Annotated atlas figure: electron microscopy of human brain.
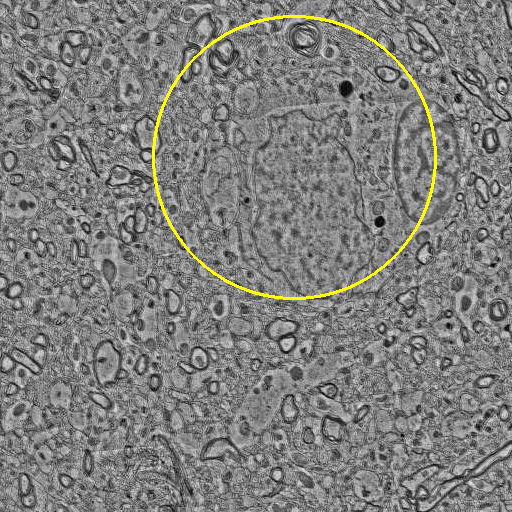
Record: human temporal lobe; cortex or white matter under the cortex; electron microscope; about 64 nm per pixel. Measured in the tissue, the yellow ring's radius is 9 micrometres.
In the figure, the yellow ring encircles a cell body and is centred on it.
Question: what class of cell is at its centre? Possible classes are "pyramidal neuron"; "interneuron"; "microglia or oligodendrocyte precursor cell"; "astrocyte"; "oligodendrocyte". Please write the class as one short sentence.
The yellow ring is drawn around a pyramidal neuron.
